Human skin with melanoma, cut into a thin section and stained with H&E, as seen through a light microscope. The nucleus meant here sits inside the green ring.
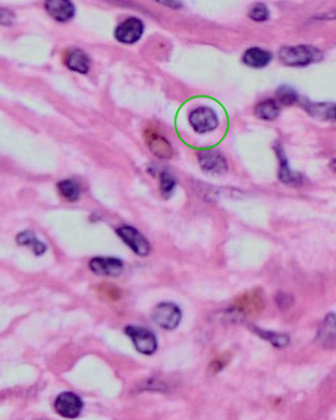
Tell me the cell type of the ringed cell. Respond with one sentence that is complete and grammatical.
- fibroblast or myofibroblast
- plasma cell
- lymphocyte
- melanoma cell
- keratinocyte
Recorded by type, the ringed cell is a lymphocyte.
